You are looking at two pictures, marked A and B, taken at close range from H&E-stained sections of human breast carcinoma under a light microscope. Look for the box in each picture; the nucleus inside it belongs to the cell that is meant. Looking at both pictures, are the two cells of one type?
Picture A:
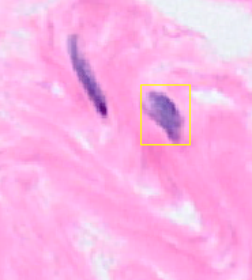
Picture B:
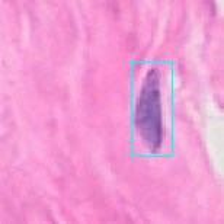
yes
